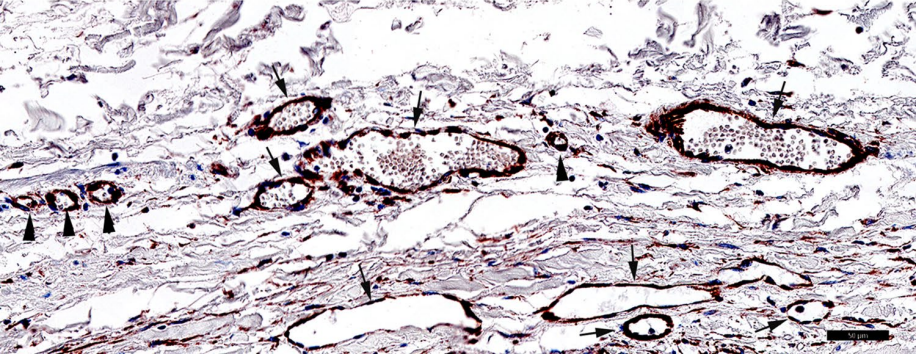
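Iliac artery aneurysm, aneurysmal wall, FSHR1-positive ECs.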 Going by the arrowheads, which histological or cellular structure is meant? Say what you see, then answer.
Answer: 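The arrowheads point to tiny round vessels with a narrow lumen. Each is lined by a thin dark-brown ring of flat cells.
Capillaries.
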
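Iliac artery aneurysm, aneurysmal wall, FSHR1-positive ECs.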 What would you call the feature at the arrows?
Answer: Venules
